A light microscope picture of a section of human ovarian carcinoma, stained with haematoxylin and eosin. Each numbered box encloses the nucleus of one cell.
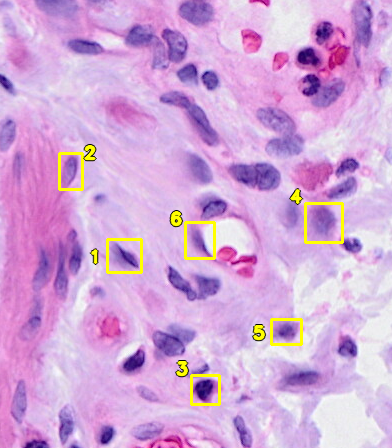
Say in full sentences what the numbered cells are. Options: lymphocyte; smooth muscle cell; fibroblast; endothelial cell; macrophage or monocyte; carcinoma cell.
Cell 1 is a fibroblast, cell 2 is a smooth muscle cell, cell 3 is a lymphocyte, cell 4 is a fibroblast, cell 5 is a macrophage or monocyte and cell 6 is an endothelial cell.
